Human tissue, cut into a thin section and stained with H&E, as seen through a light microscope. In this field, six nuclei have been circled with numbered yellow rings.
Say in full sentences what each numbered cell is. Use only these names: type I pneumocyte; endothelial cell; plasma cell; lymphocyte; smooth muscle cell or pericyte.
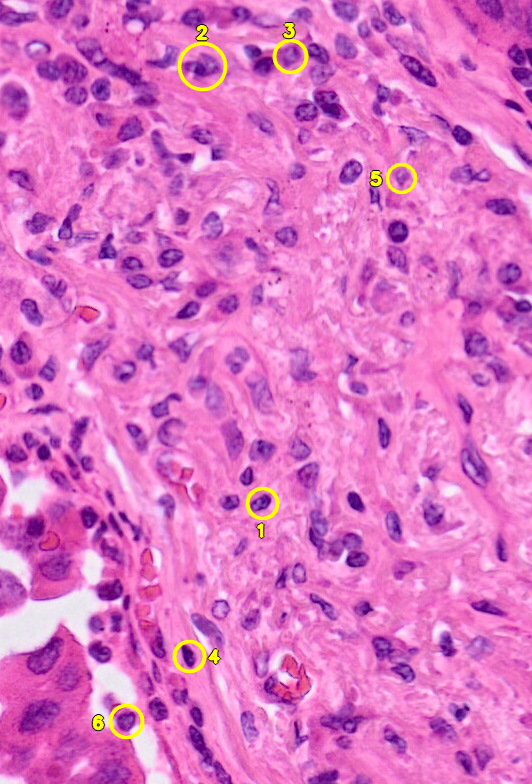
Cell 1 is a lymphocyte, cell 2 is a plasma cell, cell 3 is a plasma cell, cell 4 is a lymphocyte, cell 5 is a plasma cell and cell 6 is a lymphocyte.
